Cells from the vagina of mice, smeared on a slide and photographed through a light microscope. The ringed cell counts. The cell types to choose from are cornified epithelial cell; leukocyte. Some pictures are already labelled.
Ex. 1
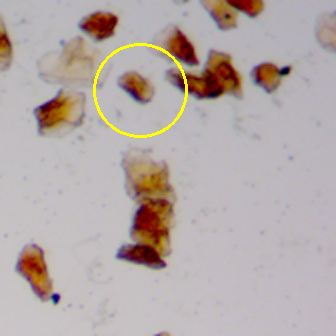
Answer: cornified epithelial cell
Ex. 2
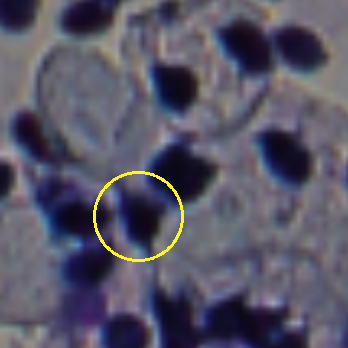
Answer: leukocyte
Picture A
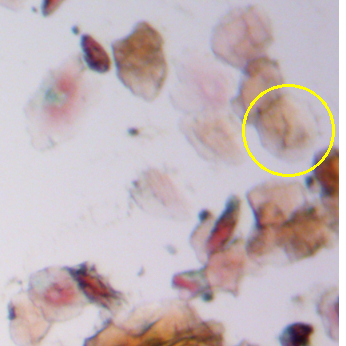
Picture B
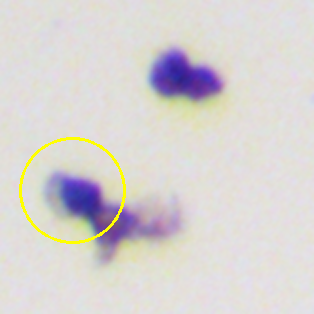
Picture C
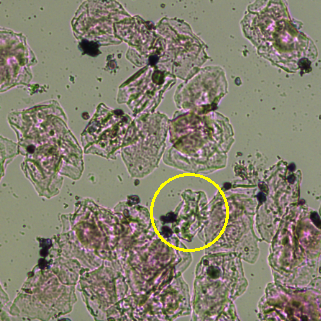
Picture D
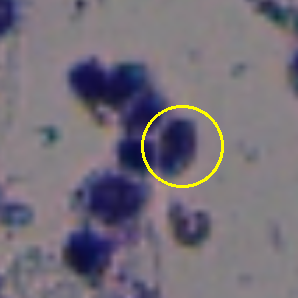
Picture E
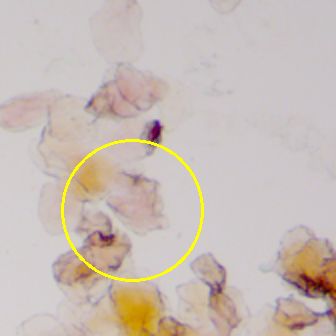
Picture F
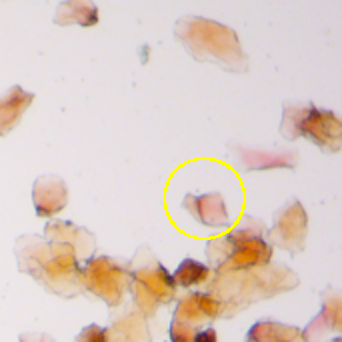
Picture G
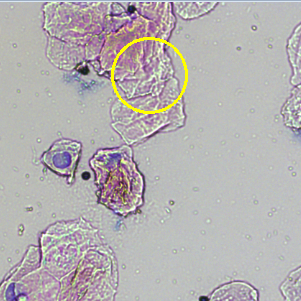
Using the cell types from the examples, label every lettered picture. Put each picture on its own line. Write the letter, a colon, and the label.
A: cornified epithelial cell
B: leukocyte
C: cornified epithelial cell
D: leukocyte
E: cornified epithelial cell
F: cornified epithelial cell
G: cornified epithelial cell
